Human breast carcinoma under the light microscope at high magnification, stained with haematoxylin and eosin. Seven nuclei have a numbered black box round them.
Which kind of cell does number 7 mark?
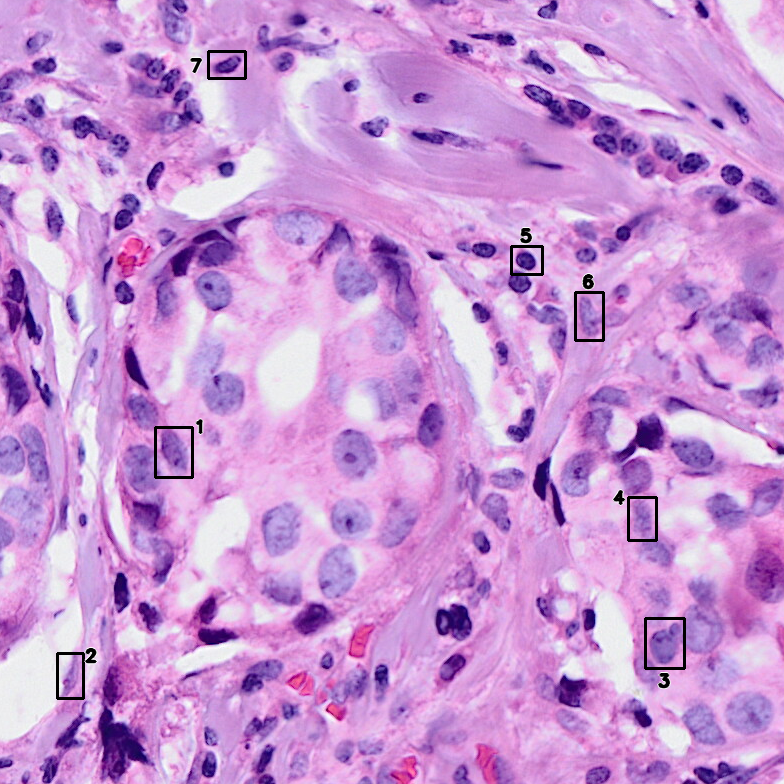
mast cell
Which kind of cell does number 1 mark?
carcinoma cell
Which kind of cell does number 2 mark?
fibroblast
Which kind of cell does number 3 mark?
carcinoma cell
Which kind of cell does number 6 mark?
endothelial cell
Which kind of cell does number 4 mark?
carcinoma cell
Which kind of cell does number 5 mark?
lymphocyte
